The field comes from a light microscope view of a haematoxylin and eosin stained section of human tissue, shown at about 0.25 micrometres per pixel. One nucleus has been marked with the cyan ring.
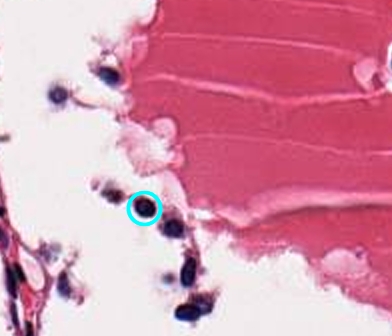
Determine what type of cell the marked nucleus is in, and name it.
thyroid follicular cell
